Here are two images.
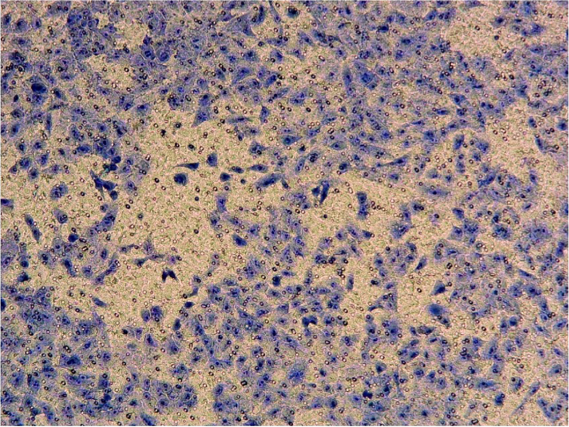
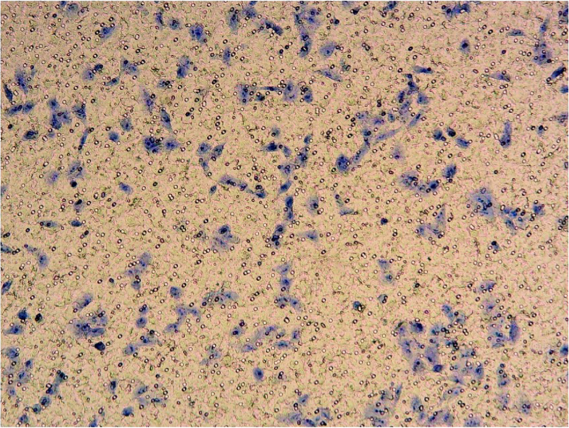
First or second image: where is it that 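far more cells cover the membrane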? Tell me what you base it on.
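The first image. Second image: scattered, separate blue-stained cells with much bare membrane between them. First image: blue-stained cells crowd most of the field, many touching one another.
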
